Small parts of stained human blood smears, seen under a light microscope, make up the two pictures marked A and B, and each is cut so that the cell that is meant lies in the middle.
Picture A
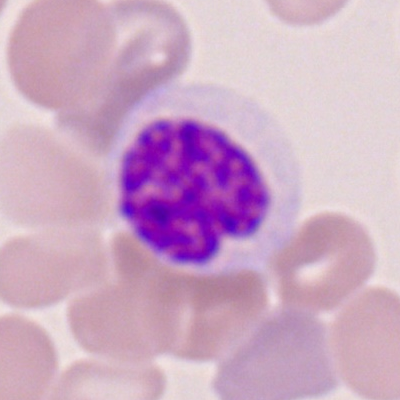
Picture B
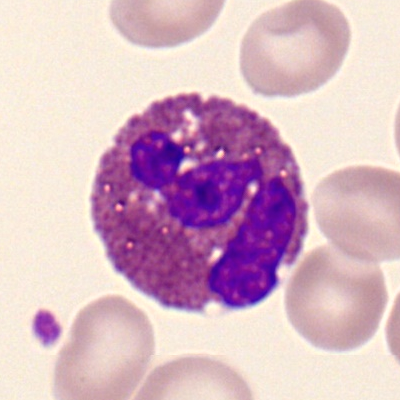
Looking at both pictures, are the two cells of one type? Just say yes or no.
no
